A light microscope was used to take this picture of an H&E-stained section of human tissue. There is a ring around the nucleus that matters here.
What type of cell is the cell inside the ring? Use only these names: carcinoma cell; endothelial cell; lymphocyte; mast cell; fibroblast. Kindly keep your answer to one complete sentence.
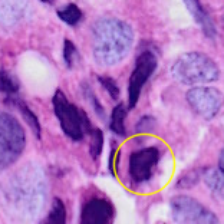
The expected answer is simply that the cell inside the ring is a carcinoma cell.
